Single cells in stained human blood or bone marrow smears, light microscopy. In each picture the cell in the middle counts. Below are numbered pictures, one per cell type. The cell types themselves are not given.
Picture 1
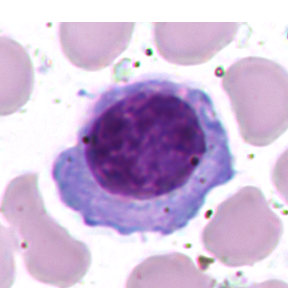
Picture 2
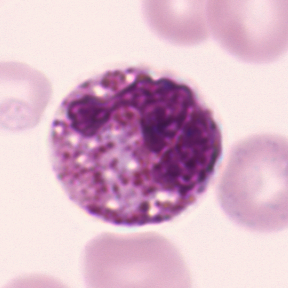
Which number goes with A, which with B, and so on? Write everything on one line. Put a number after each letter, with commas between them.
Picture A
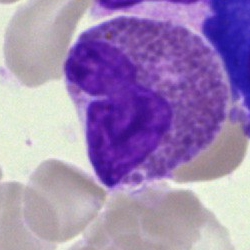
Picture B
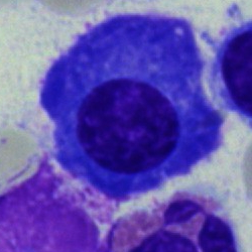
A 2, B 1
